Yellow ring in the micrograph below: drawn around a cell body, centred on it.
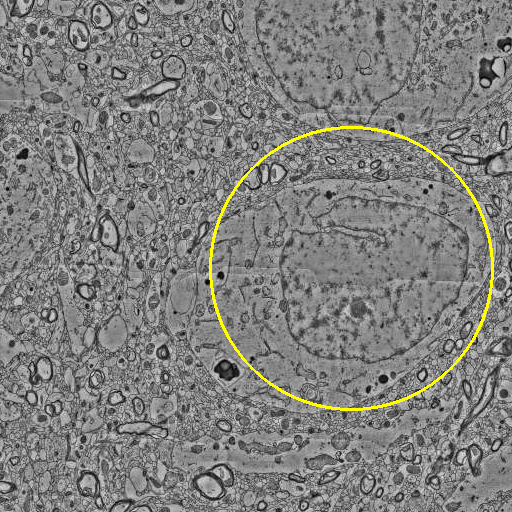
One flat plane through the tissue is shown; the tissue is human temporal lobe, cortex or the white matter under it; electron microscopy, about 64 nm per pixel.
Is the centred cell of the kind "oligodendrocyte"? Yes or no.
no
